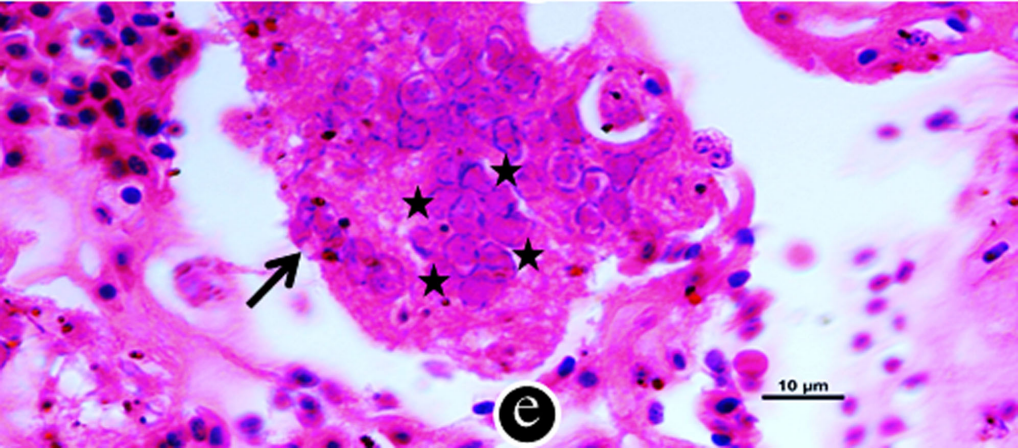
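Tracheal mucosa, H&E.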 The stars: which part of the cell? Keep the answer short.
Intranuclear eosinophilic inclusion bodies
